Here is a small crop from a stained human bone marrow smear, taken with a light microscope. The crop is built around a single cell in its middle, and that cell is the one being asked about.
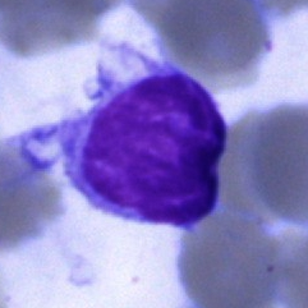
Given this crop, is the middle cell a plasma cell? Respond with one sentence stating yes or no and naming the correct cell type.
No, this cell in the middle is a hairy cell, so it is not a plasma cell.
